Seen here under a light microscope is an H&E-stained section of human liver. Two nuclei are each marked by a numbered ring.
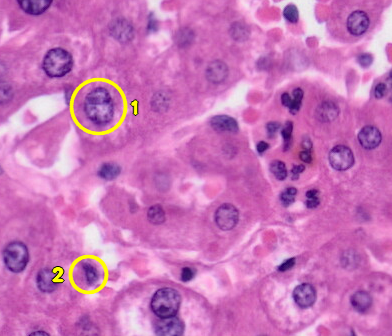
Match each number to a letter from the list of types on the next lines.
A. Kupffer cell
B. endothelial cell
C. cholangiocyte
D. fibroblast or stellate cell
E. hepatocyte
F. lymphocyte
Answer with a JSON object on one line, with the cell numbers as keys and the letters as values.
{"1": "E", "2": "D"}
